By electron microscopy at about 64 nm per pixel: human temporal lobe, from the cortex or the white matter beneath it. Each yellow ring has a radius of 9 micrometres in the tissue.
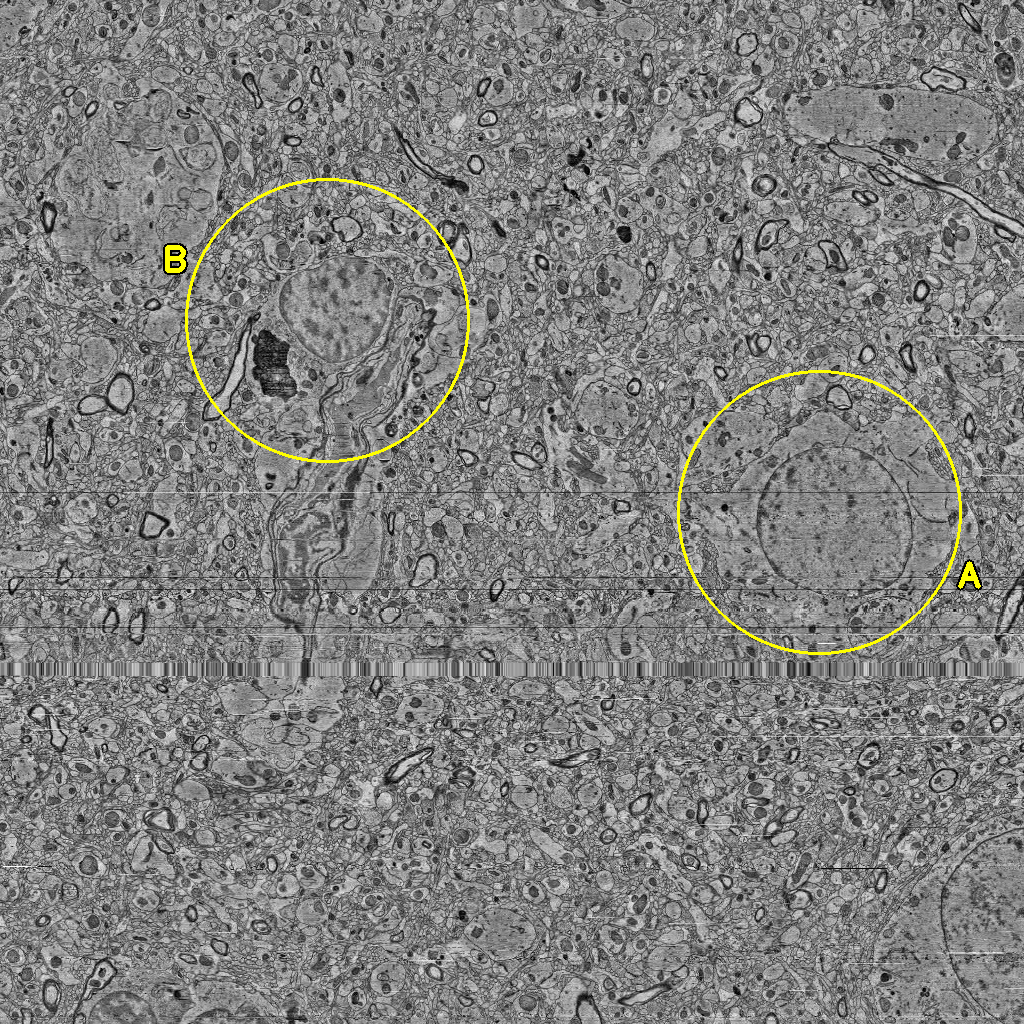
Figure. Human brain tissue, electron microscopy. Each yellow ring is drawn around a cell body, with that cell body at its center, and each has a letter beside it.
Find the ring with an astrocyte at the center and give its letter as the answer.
A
